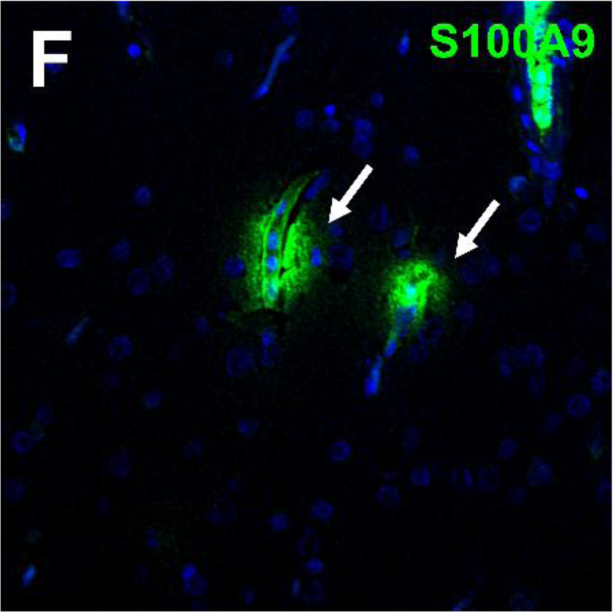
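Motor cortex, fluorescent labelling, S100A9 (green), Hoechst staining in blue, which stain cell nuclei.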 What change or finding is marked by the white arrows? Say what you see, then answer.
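Perivascularly deposited. The arrows point at diffuse green clouds. Each green cloud surrounds elongated blue nuclei in a line, as of a small vessel.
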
